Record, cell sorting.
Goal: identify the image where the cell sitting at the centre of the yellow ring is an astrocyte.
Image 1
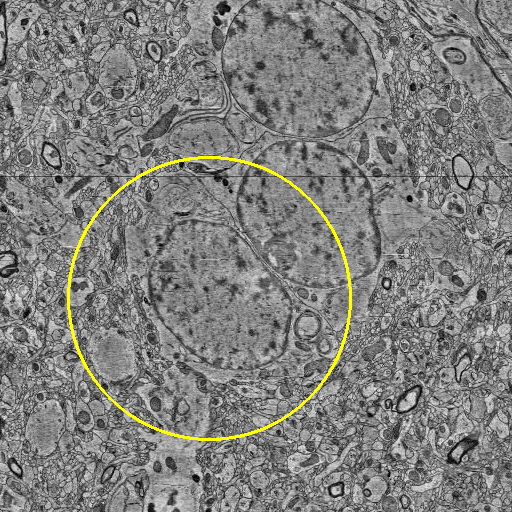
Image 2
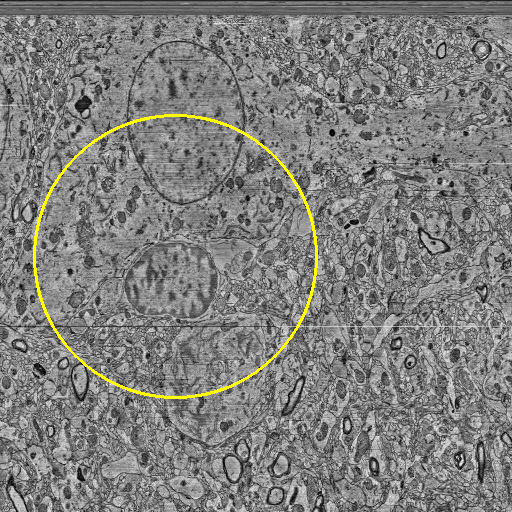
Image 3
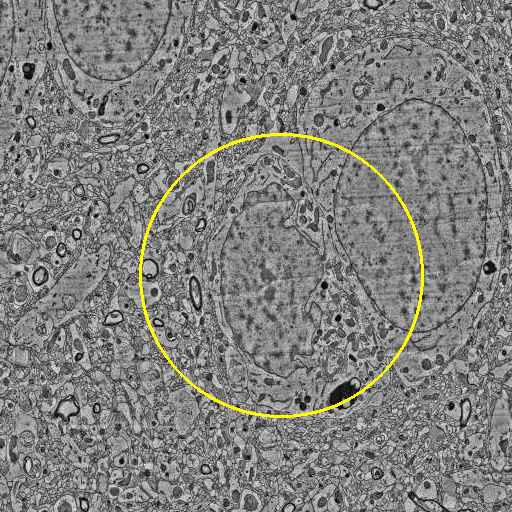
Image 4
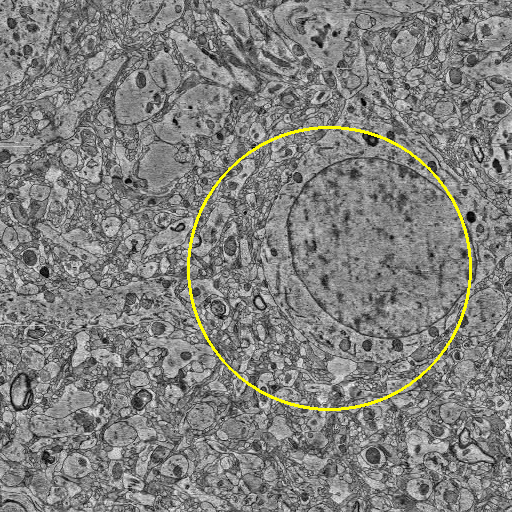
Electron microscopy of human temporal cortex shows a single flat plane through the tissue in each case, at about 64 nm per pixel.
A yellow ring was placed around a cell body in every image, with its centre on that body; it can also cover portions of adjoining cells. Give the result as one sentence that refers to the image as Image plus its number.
Image 1 shows the requested cell sitting right at the centre of its ring.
